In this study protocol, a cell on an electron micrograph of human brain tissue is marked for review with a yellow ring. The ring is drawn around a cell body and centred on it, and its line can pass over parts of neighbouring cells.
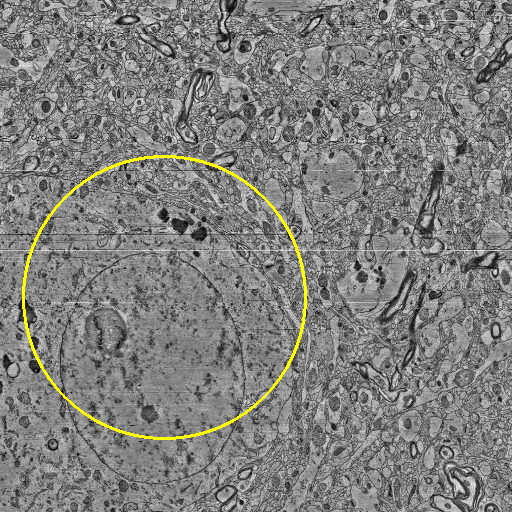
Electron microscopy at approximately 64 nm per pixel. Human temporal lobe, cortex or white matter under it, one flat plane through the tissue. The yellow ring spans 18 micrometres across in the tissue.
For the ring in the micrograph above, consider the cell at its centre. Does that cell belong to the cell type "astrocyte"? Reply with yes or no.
no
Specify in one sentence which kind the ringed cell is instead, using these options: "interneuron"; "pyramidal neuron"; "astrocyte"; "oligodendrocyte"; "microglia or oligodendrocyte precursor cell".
The cell at the ring centre is a pyramidal neuron.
